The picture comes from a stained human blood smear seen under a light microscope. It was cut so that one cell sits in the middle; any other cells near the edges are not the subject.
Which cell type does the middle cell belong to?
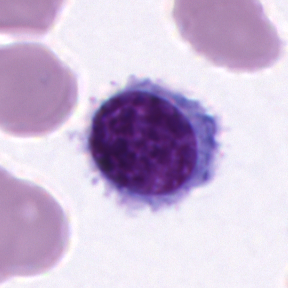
plasma cell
